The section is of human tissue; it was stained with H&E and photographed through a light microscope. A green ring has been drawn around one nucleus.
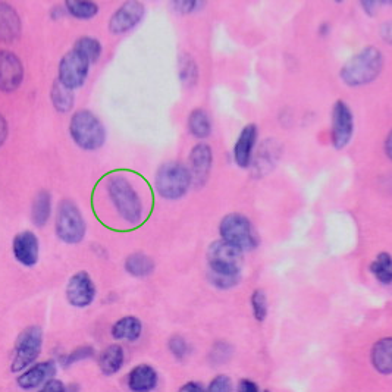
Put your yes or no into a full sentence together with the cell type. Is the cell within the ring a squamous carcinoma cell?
No, not a squamous carcinoma cell: the cell within the ring is a collecting duct cell.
